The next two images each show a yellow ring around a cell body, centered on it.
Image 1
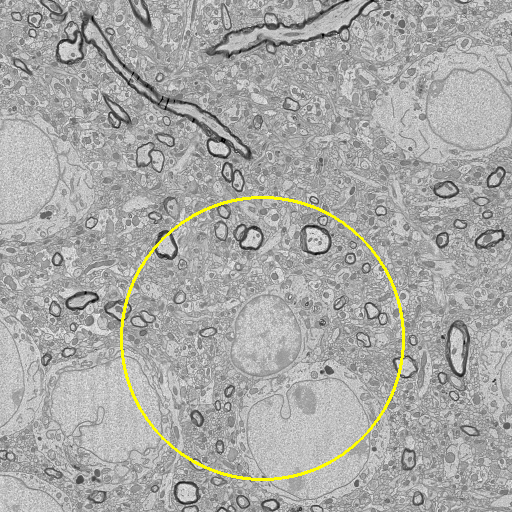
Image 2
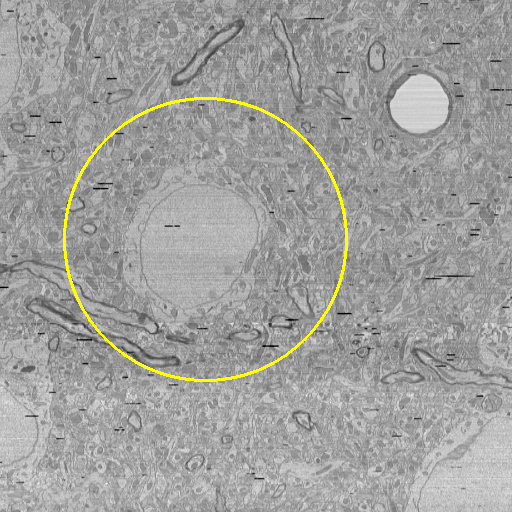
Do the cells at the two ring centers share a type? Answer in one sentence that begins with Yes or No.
No, across the two images the cells at the ring centers are of two types.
